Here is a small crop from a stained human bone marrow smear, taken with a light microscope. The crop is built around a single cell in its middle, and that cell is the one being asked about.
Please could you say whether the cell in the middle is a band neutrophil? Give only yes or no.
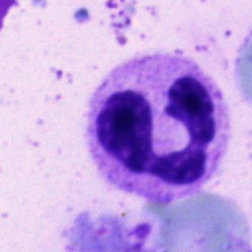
no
